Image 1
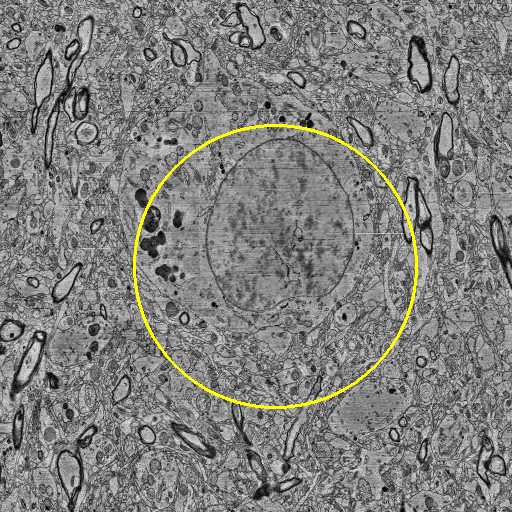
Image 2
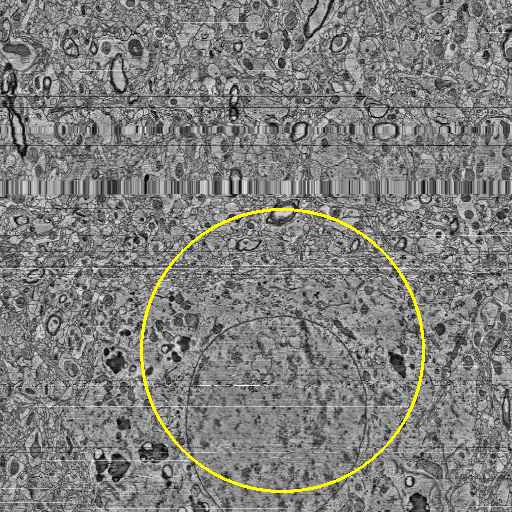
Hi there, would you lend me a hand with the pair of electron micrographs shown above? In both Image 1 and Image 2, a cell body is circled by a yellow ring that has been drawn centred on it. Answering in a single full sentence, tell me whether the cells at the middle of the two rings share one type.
Yes, the ringed cells in Image 1 and Image 2 share one type.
